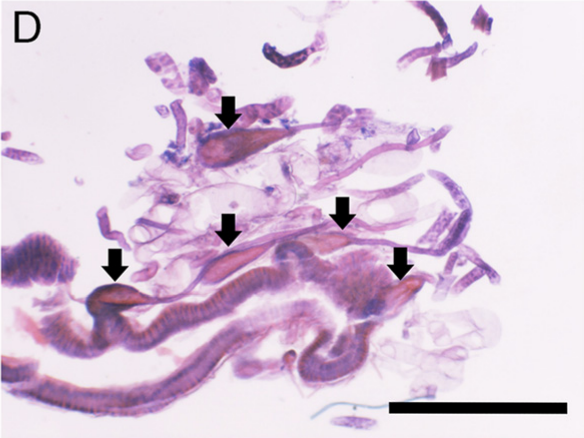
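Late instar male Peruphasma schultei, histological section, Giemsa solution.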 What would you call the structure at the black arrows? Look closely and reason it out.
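Elongated swollen pinkish-brown sacs at the arrow tips. Each sac tapers into a thin tube. The sacs lie along a long banded gut wall.
Hence: ampullae-tubules.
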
